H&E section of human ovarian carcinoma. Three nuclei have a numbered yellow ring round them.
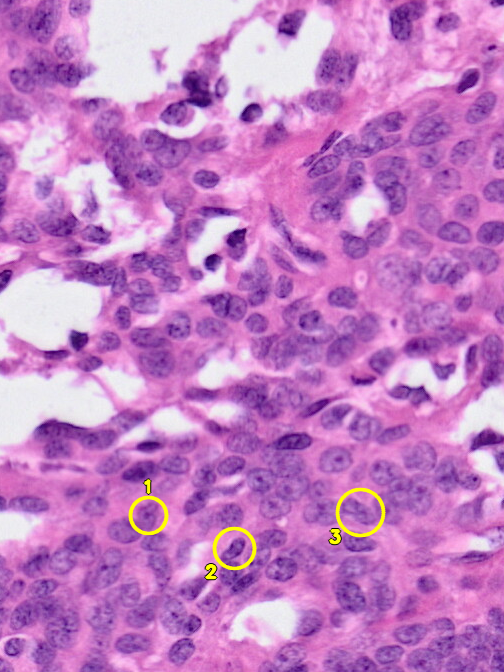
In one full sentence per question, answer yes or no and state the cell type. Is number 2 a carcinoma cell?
No, the cell with number 2 is not a carcinoma cell but a macrophage or monocyte.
